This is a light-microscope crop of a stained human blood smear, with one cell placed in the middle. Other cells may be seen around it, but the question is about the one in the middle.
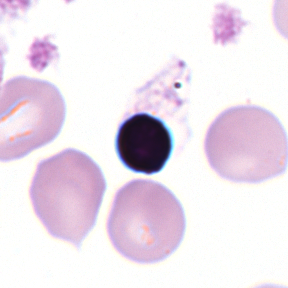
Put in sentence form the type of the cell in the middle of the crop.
The central cell in this smear crop is a normoblast.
